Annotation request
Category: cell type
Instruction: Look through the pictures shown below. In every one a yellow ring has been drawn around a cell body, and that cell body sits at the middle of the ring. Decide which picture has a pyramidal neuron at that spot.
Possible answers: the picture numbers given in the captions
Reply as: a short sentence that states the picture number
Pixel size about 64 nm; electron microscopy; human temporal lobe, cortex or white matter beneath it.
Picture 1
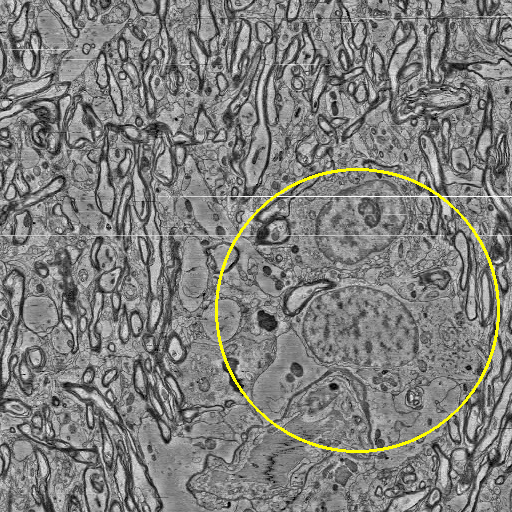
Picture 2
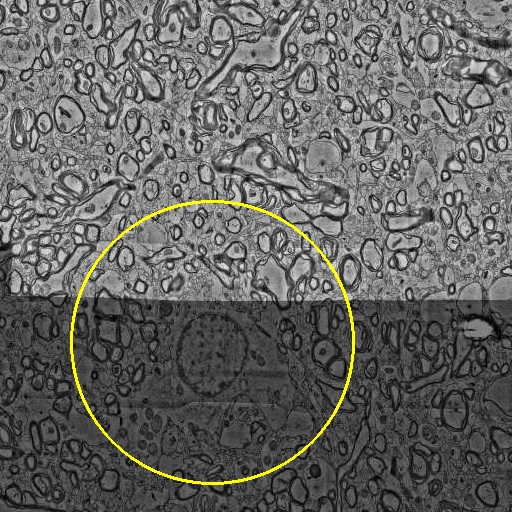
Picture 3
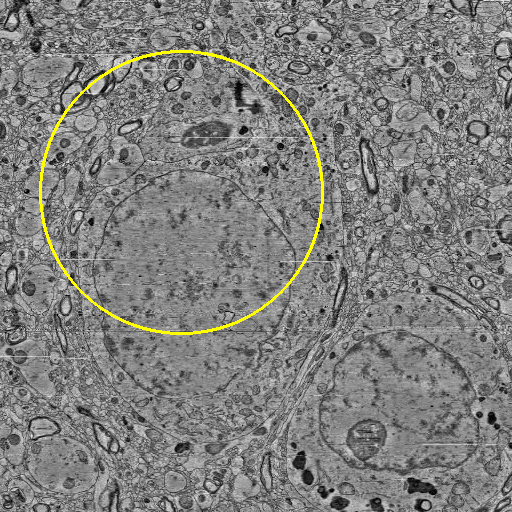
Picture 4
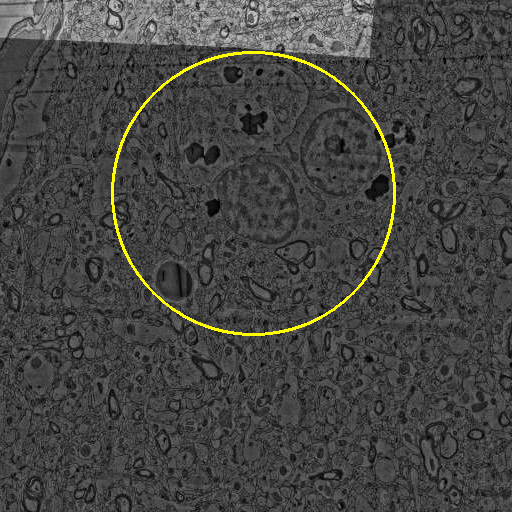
It is in Picture 3.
